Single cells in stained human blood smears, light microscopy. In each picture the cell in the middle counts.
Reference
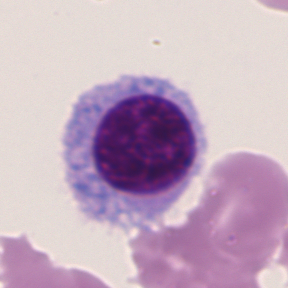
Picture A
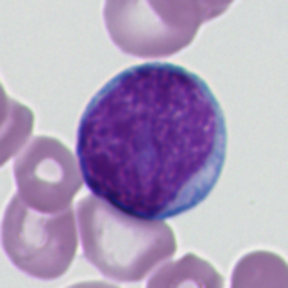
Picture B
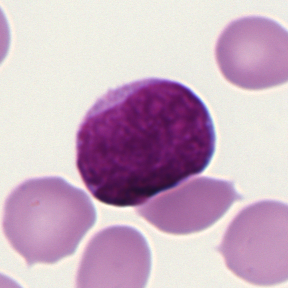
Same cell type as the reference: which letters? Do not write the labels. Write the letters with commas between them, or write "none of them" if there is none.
none of them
